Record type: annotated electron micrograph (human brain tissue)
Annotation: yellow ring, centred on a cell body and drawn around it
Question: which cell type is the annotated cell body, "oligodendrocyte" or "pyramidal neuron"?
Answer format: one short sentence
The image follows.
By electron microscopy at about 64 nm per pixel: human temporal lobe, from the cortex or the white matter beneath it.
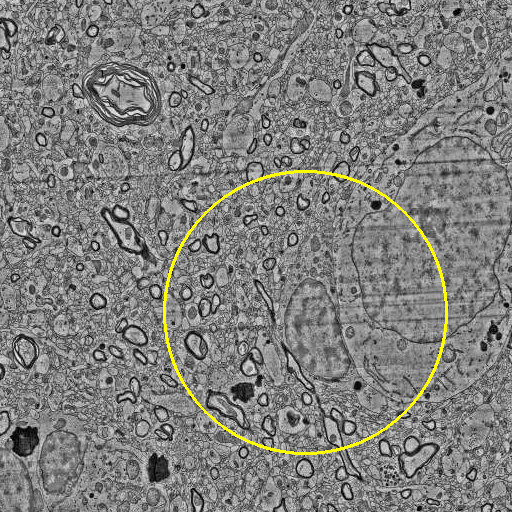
The annotated cell body is that of an oligodendrocyte.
